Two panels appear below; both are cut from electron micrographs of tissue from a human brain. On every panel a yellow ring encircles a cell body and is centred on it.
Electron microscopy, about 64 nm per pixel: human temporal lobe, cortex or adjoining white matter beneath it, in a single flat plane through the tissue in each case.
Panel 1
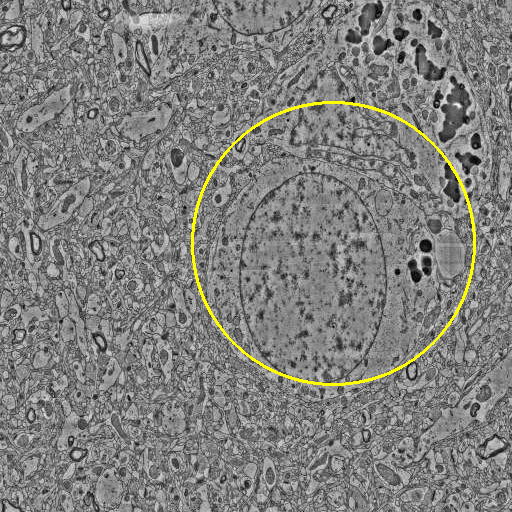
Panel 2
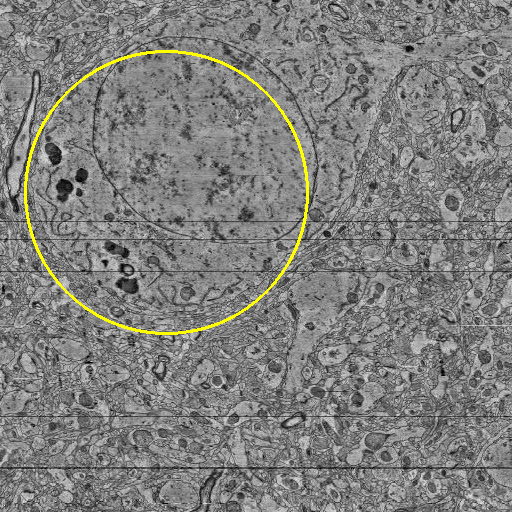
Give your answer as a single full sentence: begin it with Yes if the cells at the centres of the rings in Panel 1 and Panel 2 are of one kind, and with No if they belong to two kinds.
Yes, the cells in the middle of the rings in Panels 1 and 2 are of one kind.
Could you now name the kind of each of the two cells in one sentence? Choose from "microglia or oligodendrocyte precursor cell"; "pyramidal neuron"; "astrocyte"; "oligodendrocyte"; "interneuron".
The second cell is a pyramidal neuron, just as the first is.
